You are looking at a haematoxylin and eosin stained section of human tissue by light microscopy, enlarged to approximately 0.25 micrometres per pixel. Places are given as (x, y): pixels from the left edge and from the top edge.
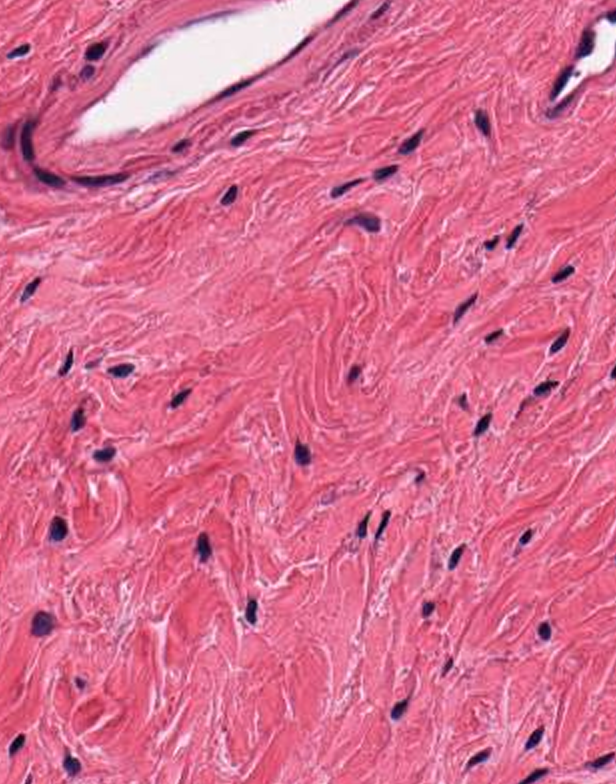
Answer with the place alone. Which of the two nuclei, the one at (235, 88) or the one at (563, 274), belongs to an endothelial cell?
(235, 88)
